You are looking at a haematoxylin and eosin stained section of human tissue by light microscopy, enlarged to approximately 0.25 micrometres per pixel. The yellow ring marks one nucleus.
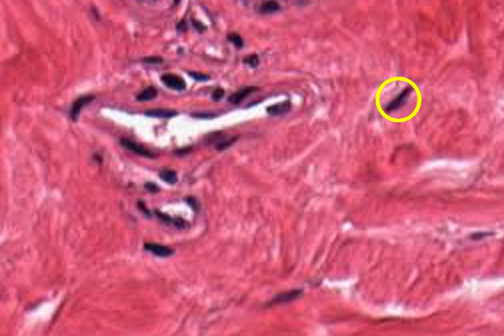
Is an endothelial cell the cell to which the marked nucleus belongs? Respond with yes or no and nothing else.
no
